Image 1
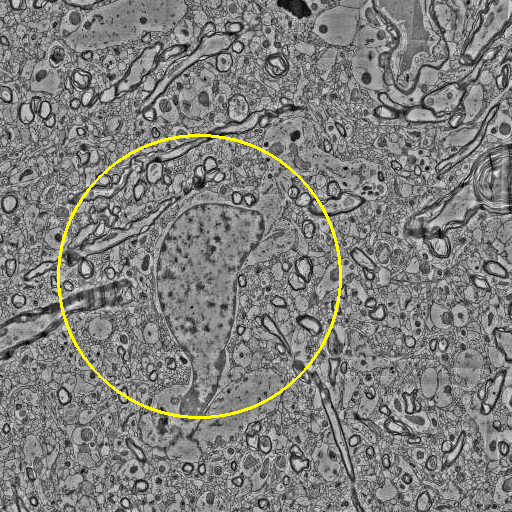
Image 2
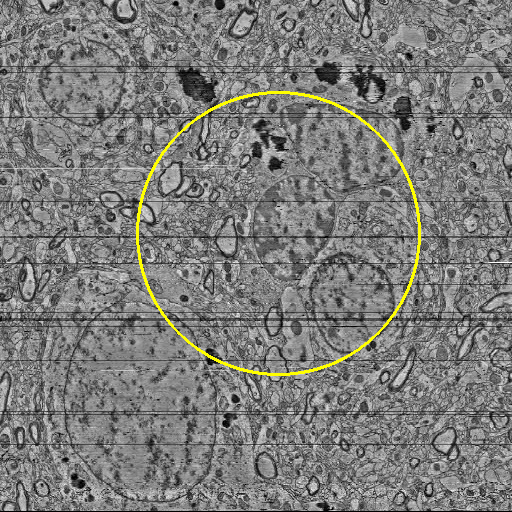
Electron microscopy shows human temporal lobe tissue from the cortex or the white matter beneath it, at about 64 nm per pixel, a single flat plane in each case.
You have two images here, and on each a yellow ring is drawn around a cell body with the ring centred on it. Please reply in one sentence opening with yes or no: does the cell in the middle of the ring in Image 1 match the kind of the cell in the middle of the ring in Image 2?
No, the two images show cells of two kinds at the centres of their rings.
